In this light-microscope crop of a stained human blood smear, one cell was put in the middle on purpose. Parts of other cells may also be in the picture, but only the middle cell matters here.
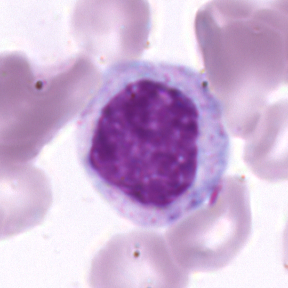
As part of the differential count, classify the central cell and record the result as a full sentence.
The crop shows a myelocyte in its centre.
